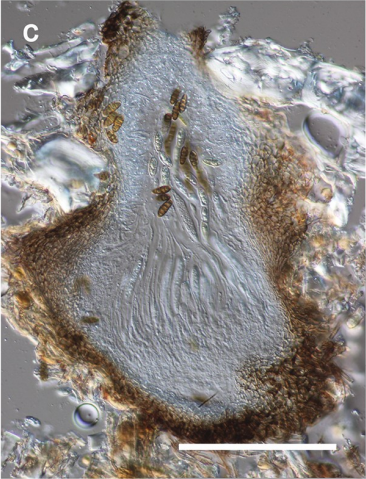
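A vertically sectioned ascoma is flask-shaped, with a narrowed neck opening at the top and a broad rounded base. Its wall is made of dark brown cells and encloses a pale cavity in which elongate hyaline filaments and asci rise from the base, with some brown septate ascospores near the neck.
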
